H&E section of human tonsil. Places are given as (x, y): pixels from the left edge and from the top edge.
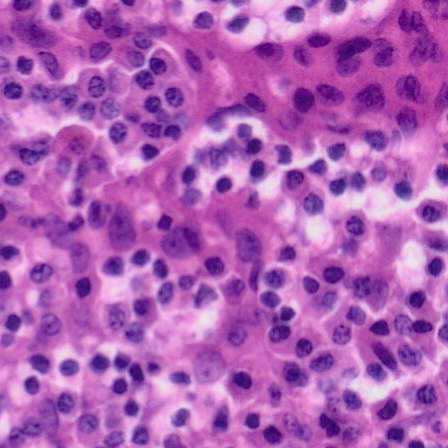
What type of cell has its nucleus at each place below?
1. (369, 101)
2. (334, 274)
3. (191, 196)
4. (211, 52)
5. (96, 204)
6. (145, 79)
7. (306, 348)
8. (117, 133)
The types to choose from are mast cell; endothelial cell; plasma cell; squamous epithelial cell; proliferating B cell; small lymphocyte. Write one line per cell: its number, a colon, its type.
1: squamous epithelial cell
2: plasma cell
3: squamous epithelial cell
4: squamous epithelial cell
5: squamous epithelial cell
6: plasma cell
7: plasma cell
8: plasma cell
